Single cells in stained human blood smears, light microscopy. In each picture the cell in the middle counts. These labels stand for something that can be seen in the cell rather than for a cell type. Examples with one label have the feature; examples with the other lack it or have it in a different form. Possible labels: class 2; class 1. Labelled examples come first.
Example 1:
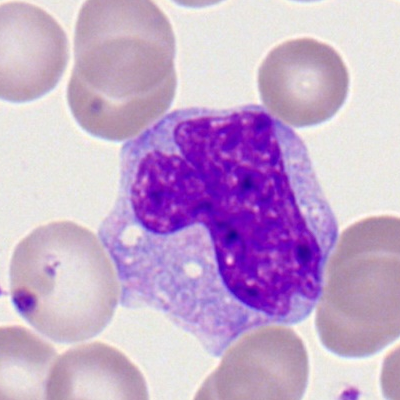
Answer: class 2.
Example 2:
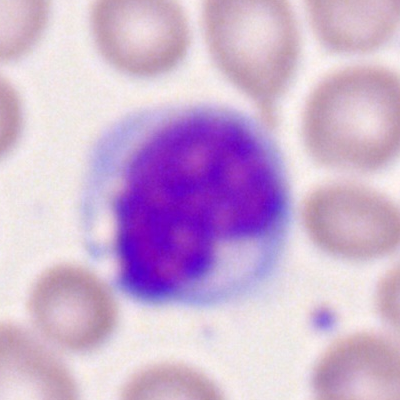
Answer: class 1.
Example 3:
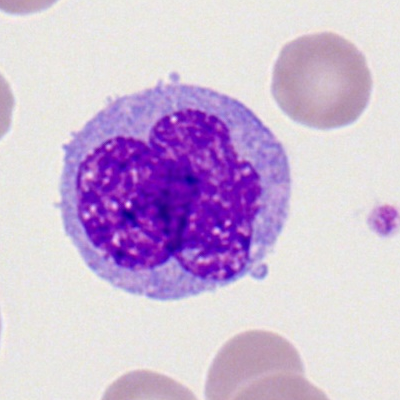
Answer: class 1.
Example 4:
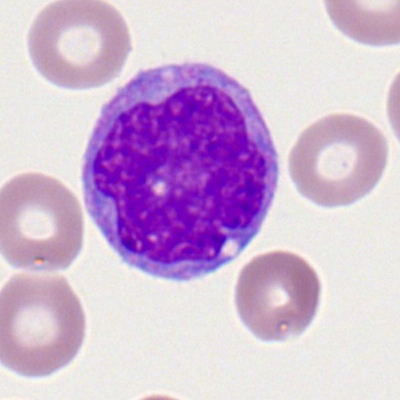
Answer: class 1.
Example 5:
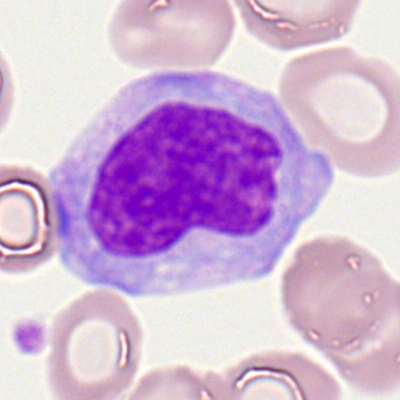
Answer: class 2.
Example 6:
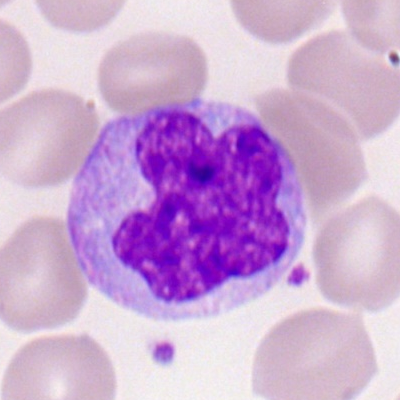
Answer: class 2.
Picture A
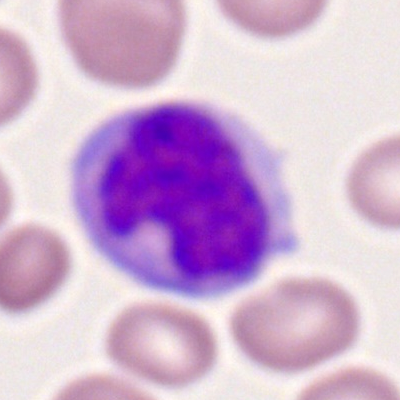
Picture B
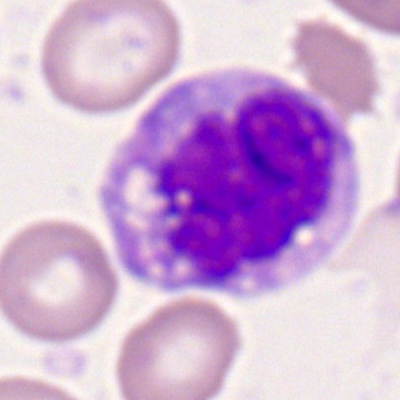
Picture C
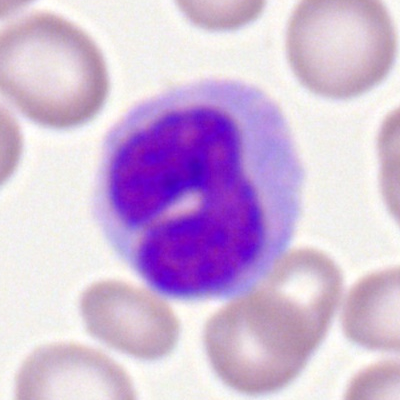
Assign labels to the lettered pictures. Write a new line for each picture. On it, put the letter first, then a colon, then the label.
A: class 1.
B: class 2.
C: class 1.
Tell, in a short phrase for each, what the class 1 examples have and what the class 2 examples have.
Seen in class 1: scant cytoplasm; seen in class 2: abundant cytoplasm.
